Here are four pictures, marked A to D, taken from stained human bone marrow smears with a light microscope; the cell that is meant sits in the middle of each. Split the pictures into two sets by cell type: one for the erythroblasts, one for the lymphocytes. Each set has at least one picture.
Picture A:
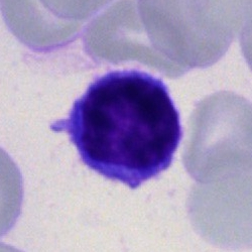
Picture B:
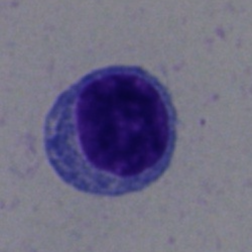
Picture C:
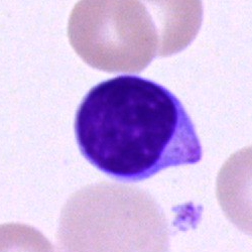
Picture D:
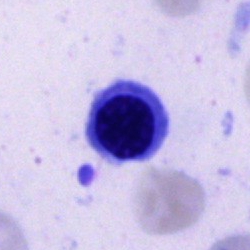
A: lymphocyte
B: lymphocyte
C: lymphocyte
D: erythroblast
